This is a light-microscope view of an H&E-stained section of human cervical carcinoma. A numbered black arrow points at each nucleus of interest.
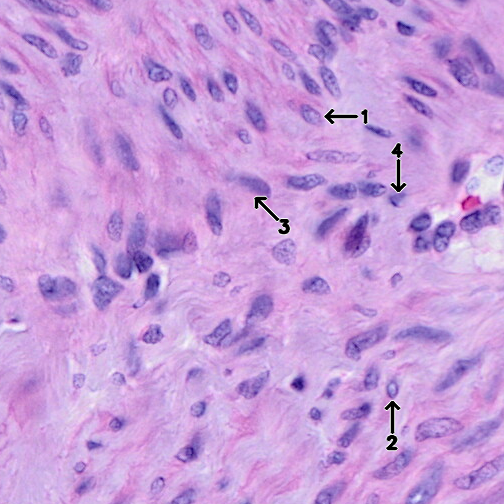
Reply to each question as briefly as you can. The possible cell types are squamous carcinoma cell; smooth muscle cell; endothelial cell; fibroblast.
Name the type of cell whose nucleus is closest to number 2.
smooth muscle cell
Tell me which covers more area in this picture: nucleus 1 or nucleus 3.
3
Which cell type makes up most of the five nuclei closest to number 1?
smooth muscle cell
